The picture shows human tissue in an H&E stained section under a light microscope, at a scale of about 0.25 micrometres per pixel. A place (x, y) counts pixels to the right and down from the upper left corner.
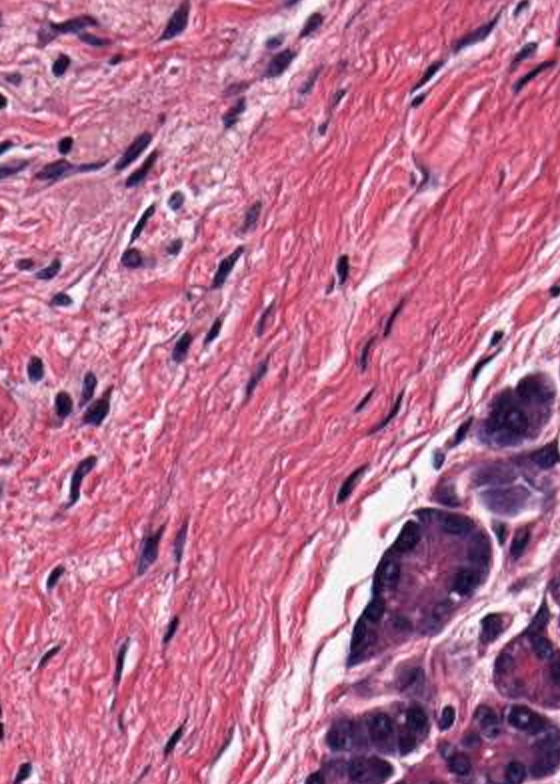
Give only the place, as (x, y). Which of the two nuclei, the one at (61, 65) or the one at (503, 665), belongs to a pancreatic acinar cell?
(503, 665)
